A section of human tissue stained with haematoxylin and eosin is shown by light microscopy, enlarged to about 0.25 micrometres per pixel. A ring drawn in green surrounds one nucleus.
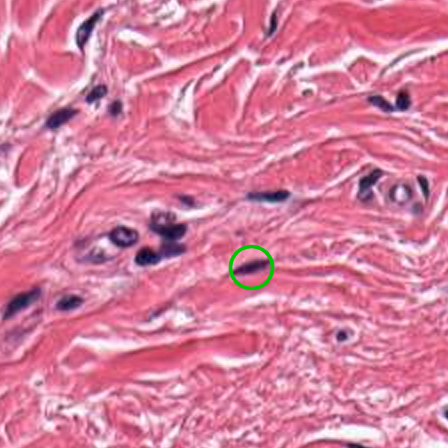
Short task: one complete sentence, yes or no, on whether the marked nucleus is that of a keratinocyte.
No, the marked nucleus is not that of a keratinocyte but that of a supporting cell.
